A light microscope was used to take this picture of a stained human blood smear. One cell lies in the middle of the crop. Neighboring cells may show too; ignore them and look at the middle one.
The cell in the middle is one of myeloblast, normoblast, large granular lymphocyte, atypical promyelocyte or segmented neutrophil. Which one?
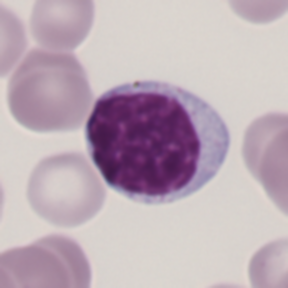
large granular lymphocyte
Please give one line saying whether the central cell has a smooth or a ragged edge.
Happy to help: the outline is smooth and shows no projections.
